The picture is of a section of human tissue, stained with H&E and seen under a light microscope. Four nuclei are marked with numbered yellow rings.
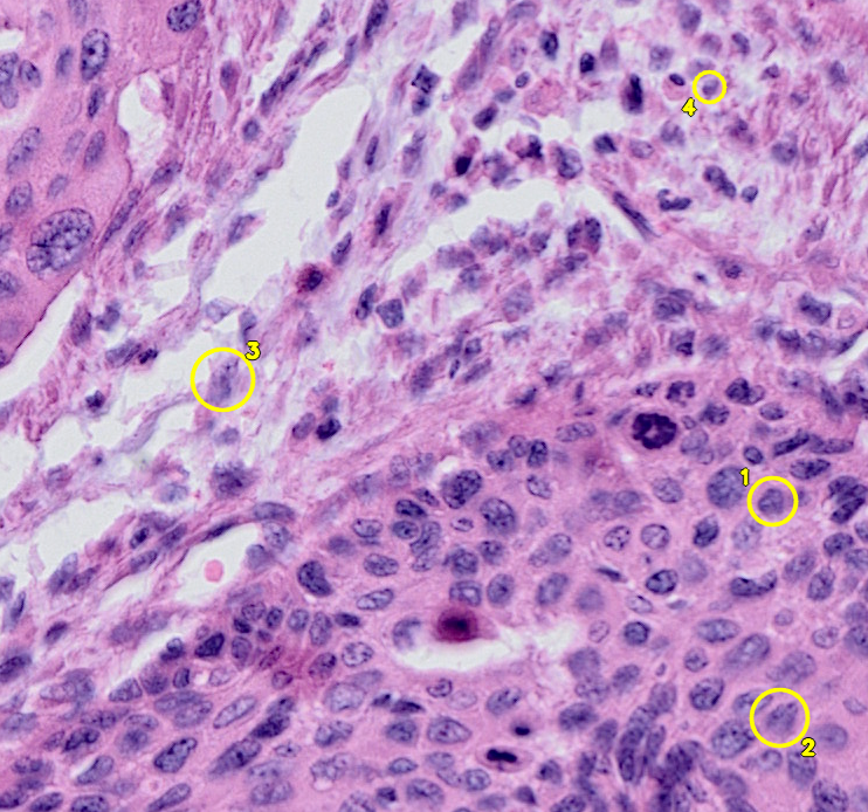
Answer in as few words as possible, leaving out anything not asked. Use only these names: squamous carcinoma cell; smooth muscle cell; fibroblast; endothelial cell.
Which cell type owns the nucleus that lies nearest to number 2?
squamous carcinoma cell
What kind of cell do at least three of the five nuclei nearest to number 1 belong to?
squamous carcinoma cell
